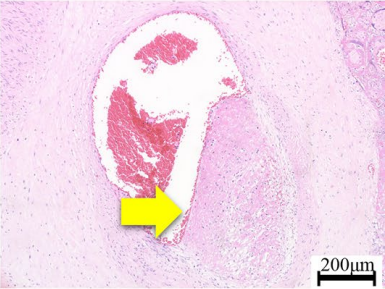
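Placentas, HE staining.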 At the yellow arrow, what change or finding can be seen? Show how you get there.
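A pale pink homogeneous crescent bulges from the vessel wall into the lumen. The lumen beside it contains red blood. That points to this answer: fibrin cushion.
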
